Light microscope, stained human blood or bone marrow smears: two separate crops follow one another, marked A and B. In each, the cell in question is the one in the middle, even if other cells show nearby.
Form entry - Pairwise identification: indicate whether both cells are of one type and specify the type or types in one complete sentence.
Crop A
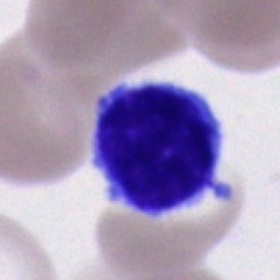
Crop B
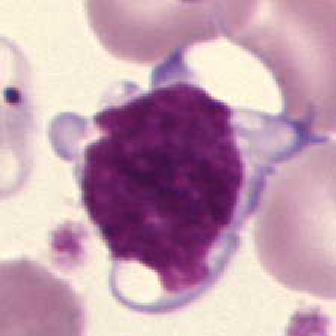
Yes, lymphocytes are the cells in the middle of both crops.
